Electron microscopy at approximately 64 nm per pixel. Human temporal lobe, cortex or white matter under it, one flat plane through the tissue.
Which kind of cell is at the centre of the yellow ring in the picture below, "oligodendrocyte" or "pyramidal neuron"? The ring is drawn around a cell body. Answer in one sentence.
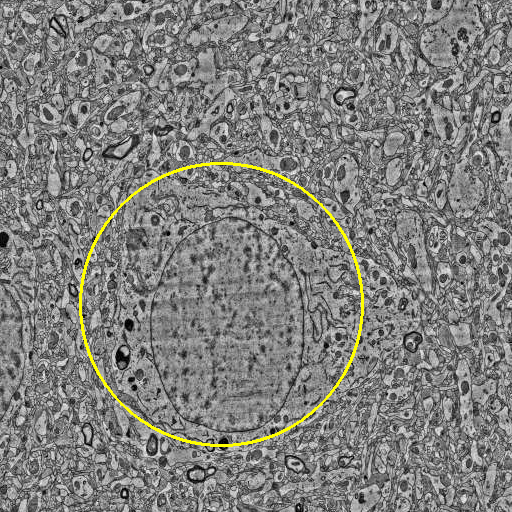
The ring's central cell is a pyramidal neuron.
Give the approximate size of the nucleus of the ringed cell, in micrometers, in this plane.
In this plane, about 14 micrometres in length and 10 in width.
